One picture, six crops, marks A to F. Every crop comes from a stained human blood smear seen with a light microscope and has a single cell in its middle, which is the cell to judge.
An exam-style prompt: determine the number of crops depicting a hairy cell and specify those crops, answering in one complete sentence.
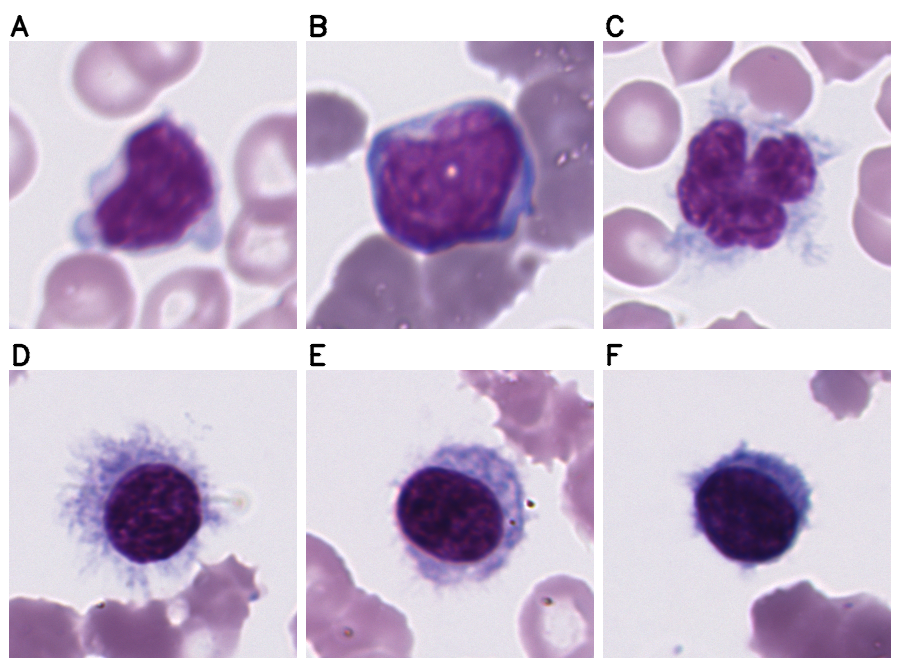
Of all the crops, four show hairy cells: C, D, E and F.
